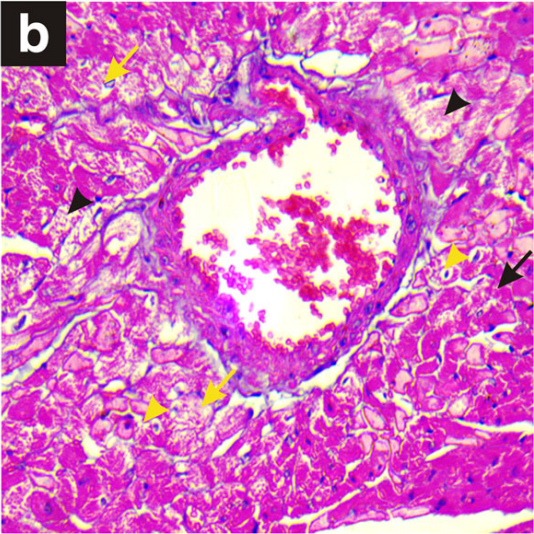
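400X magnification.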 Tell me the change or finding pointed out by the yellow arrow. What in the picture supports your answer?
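The marked fibers contain small clear spaces within the pink cytoplasm.
Answer: vacuolization of the cytoplasm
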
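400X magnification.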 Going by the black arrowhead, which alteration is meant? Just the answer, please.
Myofibrillar loss.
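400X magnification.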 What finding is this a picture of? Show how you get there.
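A large vessel in the centre has a lumen containing many red blood cells. The vessel is surrounded by pink-stained muscle fibers. The answer: congestion of myocardial vessels.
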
